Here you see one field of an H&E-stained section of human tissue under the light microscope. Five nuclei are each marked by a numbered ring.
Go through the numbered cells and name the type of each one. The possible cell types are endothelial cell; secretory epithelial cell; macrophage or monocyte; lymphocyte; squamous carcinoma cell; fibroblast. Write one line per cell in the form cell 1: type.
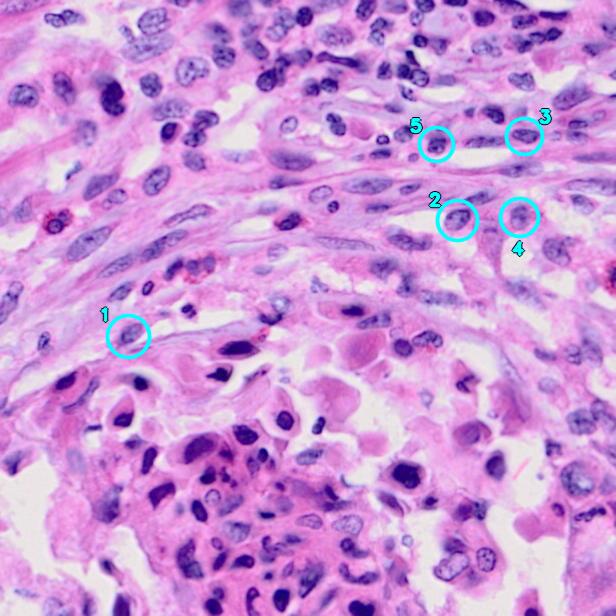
cell 1: macrophage or monocyte
cell 2: macrophage or monocyte
cell 3: lymphocyte
cell 4: macrophage or monocyte
cell 5: lymphocyte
